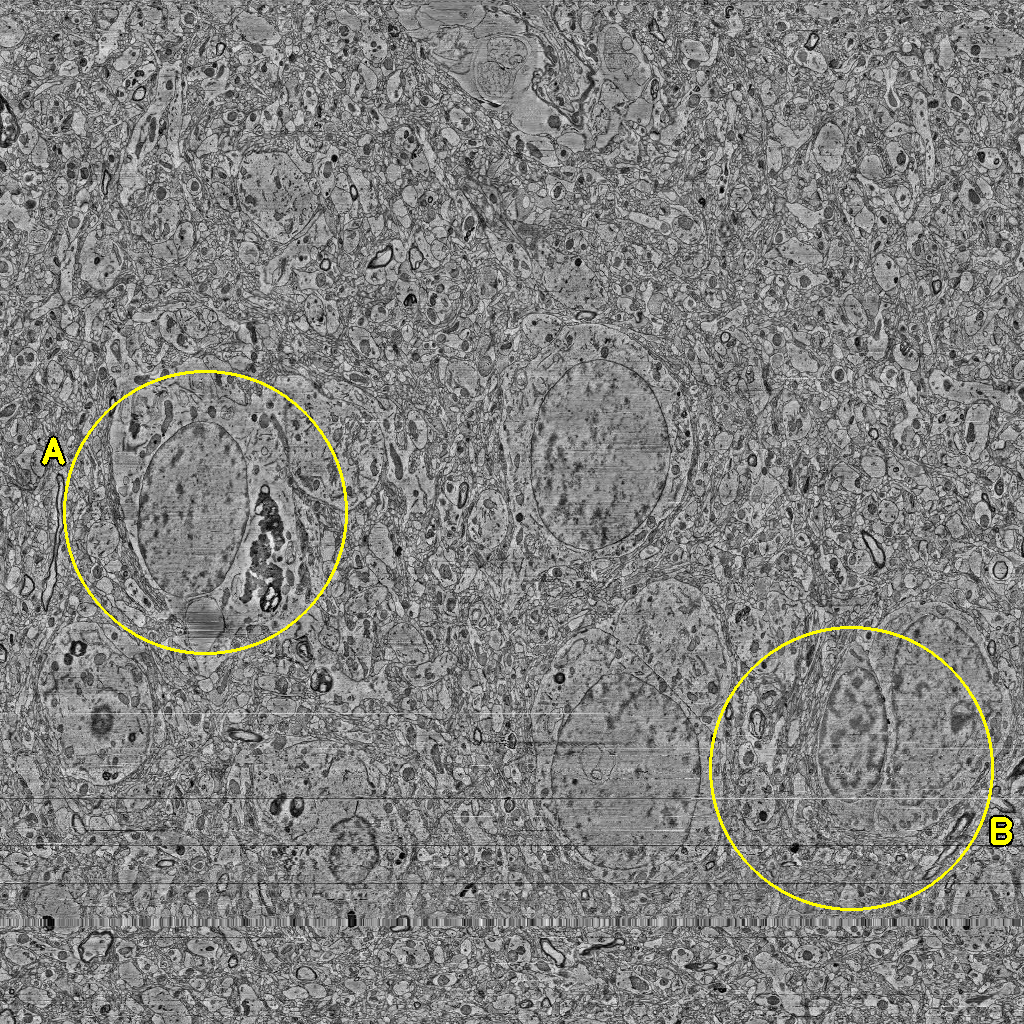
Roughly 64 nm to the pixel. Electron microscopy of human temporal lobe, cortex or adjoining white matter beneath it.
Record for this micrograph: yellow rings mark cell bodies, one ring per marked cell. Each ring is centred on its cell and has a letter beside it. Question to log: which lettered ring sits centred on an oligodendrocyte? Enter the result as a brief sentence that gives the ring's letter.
Ring B holds it at its centre.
